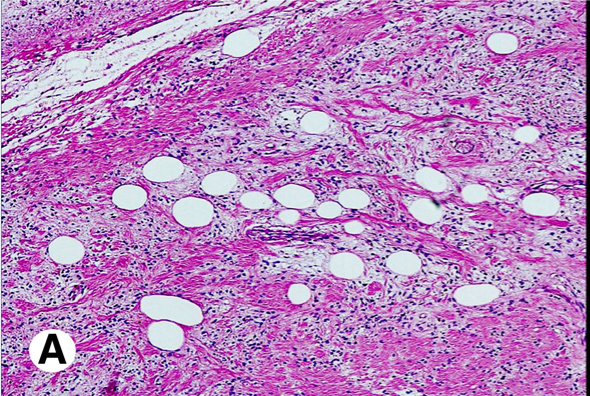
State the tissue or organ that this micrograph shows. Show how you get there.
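Wavy pink fibrous bundles run through the field. Spindle-shaped nuclei are scattered within the pink fibrous matrix.
Answer: collagenous background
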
